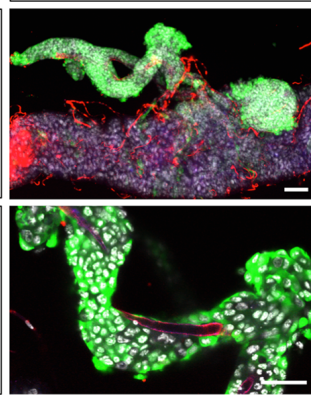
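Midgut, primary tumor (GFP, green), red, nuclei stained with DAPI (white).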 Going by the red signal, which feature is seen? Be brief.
tracheal tubes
